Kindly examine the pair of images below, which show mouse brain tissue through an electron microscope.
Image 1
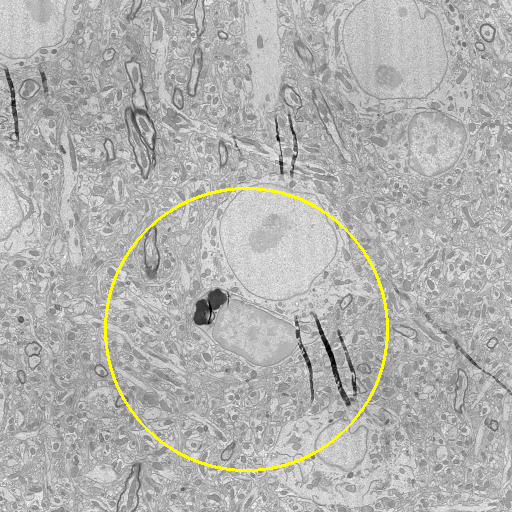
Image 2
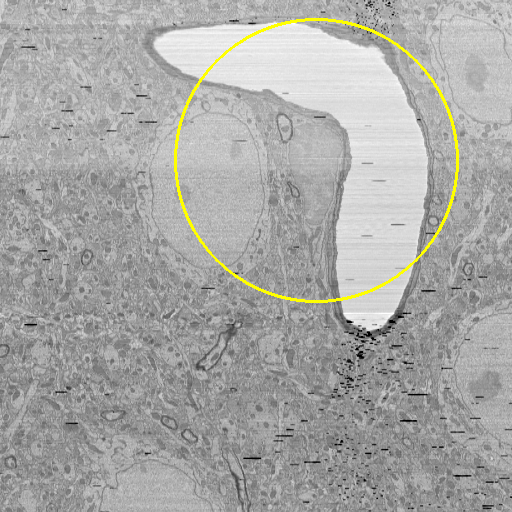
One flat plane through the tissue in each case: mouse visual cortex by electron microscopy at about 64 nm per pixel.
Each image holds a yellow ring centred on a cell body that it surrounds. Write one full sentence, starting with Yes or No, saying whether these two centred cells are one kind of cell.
Yes, both cells at the centres of the yellow rings belong to one kind of cell.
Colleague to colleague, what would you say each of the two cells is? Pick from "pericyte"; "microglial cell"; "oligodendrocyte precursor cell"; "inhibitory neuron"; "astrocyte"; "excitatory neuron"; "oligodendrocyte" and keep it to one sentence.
Each of the two pictures has a microglial cell at the ring centre.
